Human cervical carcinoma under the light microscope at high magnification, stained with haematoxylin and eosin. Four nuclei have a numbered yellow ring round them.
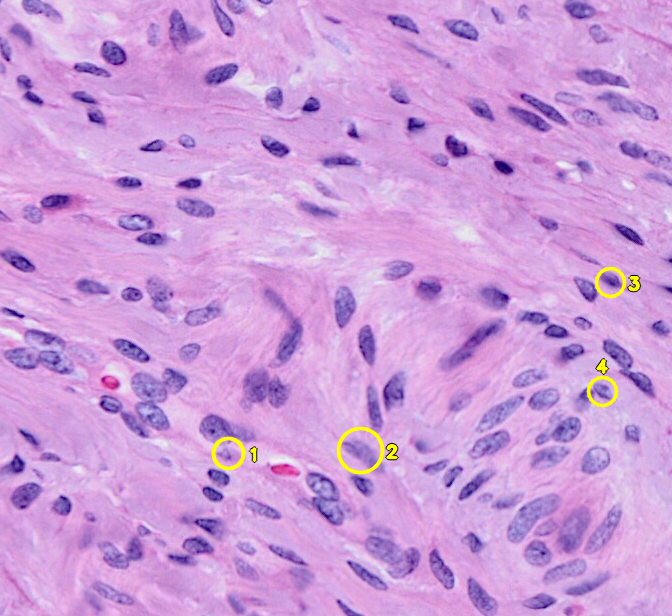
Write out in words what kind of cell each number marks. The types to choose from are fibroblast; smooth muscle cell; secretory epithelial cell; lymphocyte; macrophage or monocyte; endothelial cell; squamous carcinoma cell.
Cell 1 is an endothelial cell, cell 2 is a fibroblast, cell 3 is a fibroblast and cell 4 is a fibroblast.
